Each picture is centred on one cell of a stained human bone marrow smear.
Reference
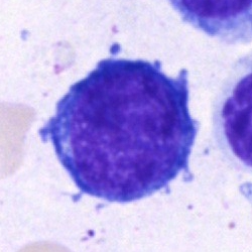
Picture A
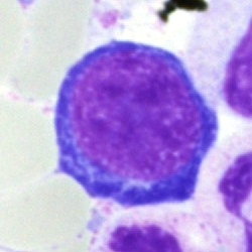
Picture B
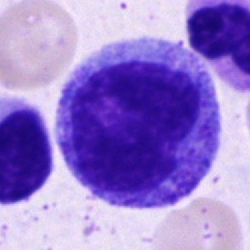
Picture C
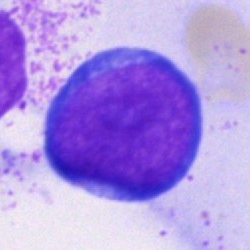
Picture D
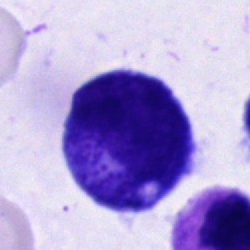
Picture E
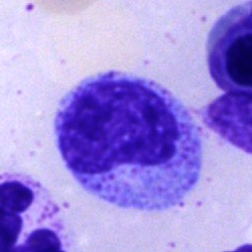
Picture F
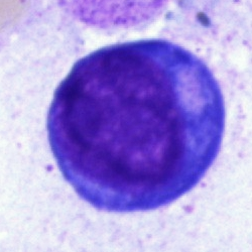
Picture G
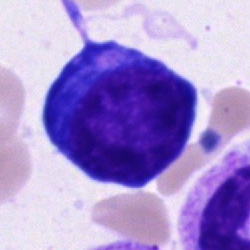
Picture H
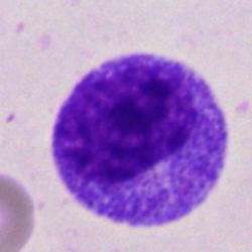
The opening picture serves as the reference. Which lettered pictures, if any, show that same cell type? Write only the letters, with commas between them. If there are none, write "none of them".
A, C, F, G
